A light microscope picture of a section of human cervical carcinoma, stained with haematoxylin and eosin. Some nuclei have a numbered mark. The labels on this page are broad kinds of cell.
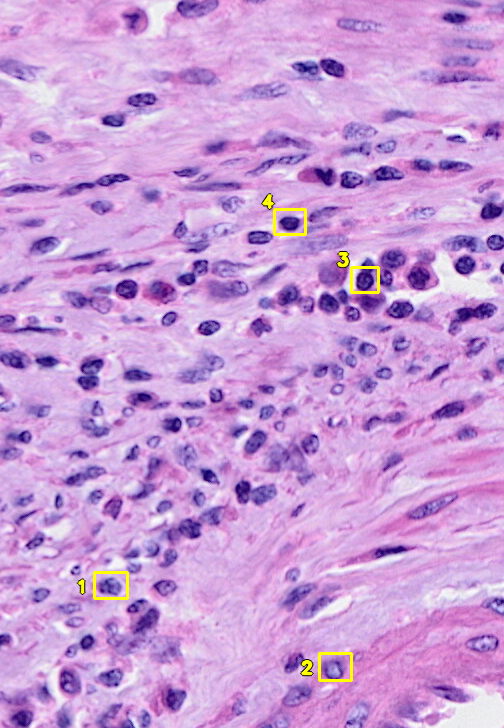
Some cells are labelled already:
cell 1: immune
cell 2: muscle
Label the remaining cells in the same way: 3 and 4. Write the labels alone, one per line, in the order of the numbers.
immune
immune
